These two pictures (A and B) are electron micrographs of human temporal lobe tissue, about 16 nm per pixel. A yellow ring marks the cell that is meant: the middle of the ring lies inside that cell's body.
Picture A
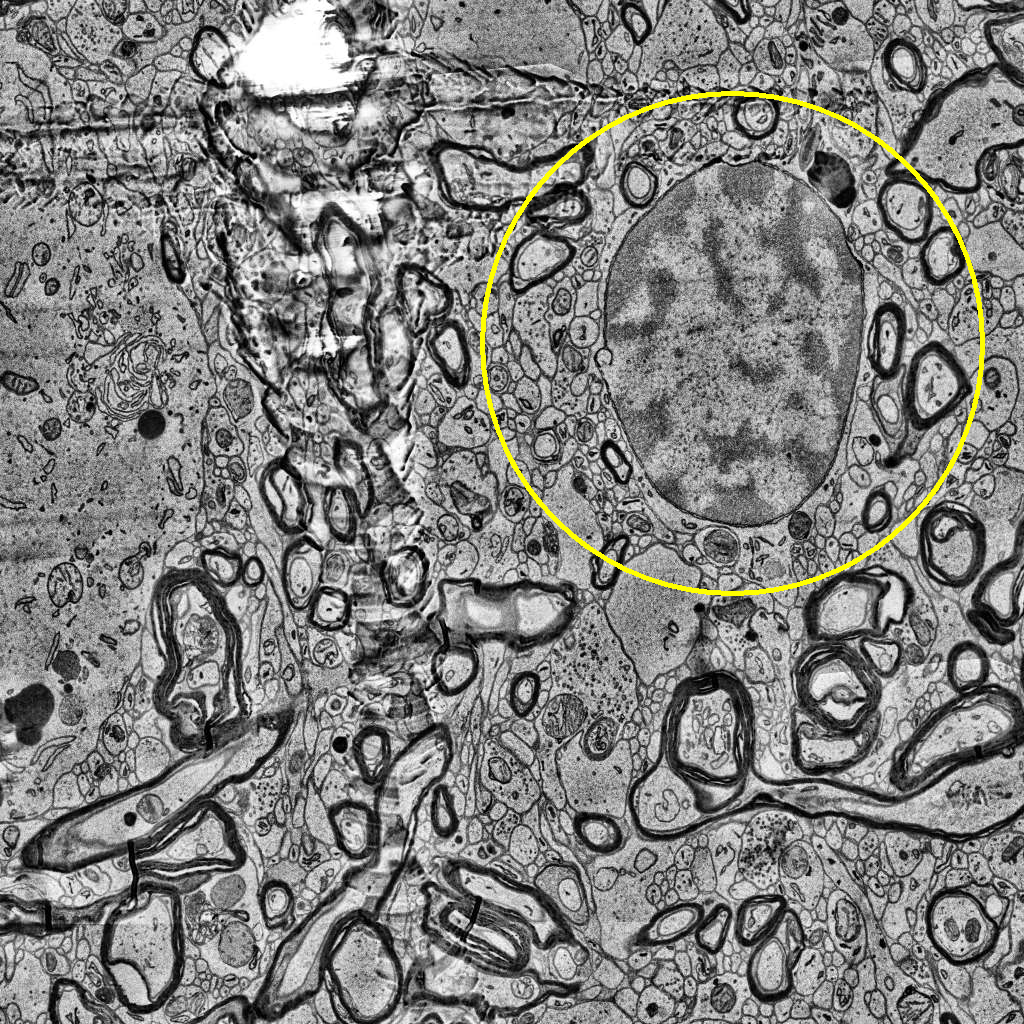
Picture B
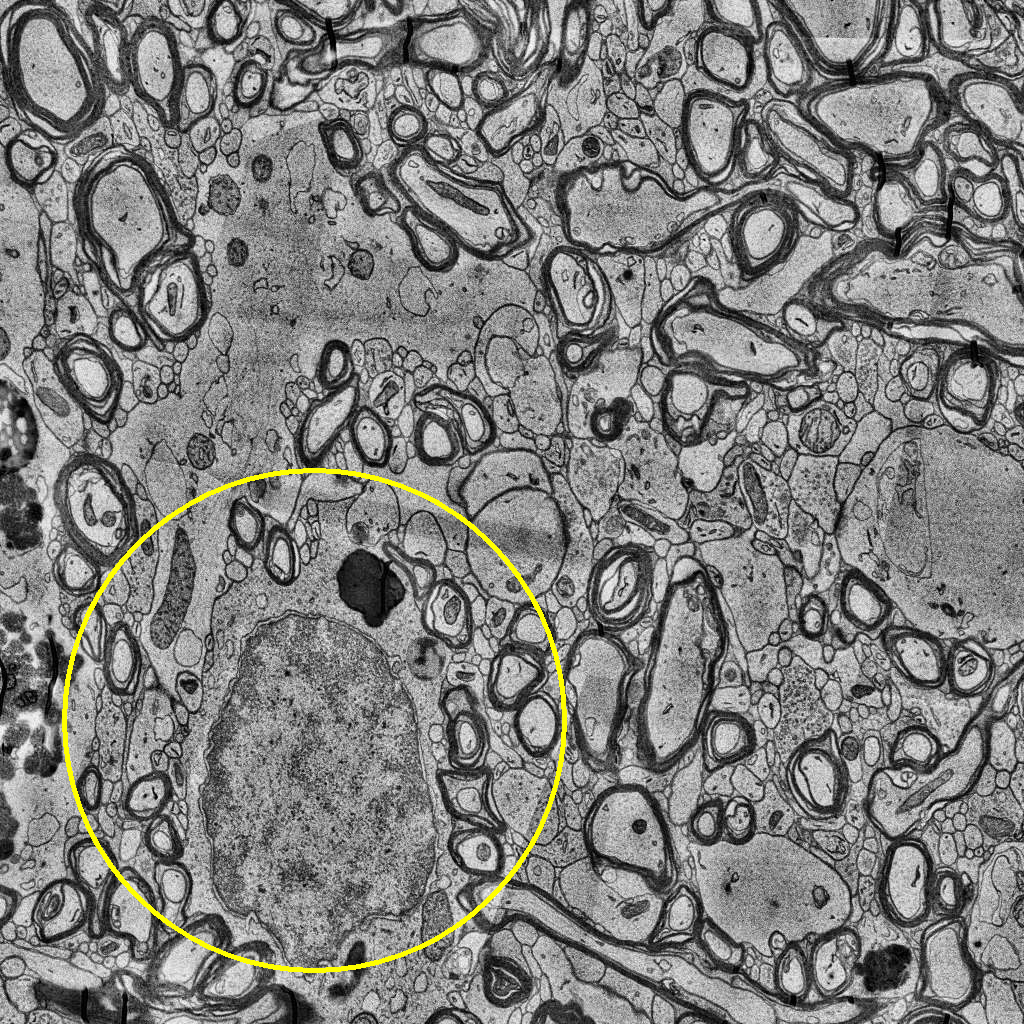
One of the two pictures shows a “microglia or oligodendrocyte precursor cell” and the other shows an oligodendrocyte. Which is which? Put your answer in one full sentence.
It is picture A that shows a “microglia or oligodendrocyte precursor cell”, and picture B that shows an oligodendrocyte.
